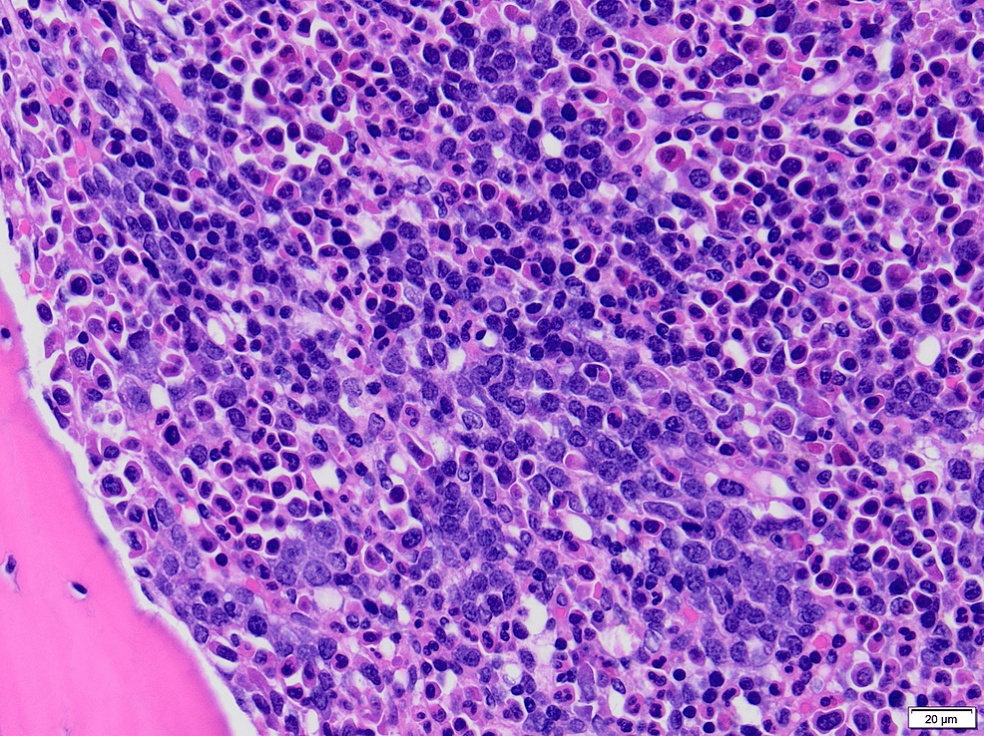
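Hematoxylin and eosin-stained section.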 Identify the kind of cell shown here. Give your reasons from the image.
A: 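Many small round cells with very dark, round nuclei. These cells have a thin clear halo around the nucleus. Such cells make up a large share of the marrow cells.
Hence: erythroid precursors.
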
